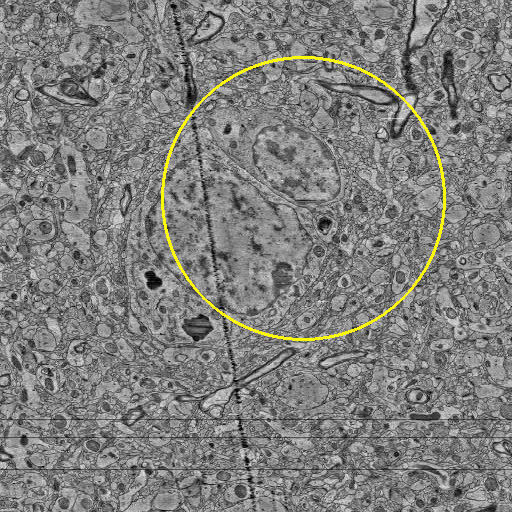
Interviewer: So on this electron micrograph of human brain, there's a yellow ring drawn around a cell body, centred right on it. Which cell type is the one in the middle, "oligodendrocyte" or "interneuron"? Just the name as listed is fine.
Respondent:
oligodendrocyte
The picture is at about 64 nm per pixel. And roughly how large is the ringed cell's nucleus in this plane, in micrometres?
Roughly 6 by 4 micrometres in this plane, for the nucleus of the ringed cell.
